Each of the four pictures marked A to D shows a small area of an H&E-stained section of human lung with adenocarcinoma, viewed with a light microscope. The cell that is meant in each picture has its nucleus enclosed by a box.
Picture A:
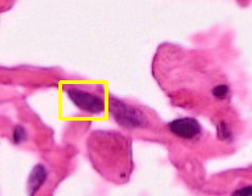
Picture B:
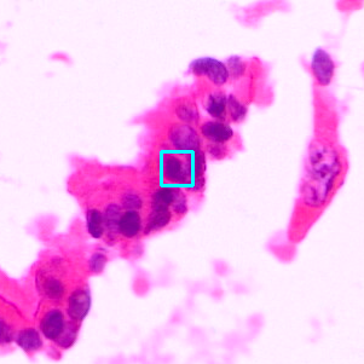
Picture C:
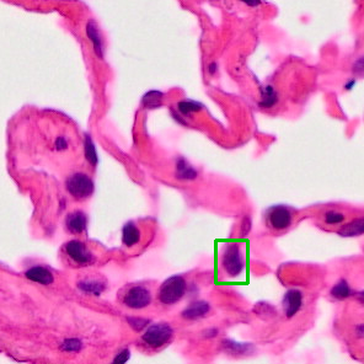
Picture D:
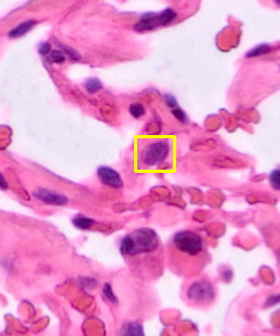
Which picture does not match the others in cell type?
B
